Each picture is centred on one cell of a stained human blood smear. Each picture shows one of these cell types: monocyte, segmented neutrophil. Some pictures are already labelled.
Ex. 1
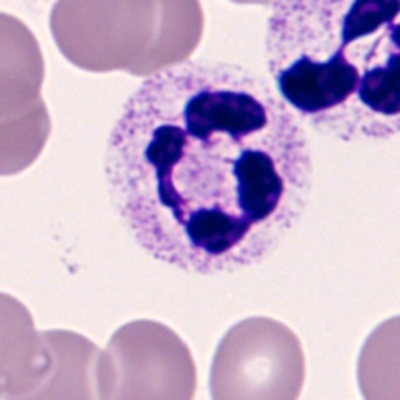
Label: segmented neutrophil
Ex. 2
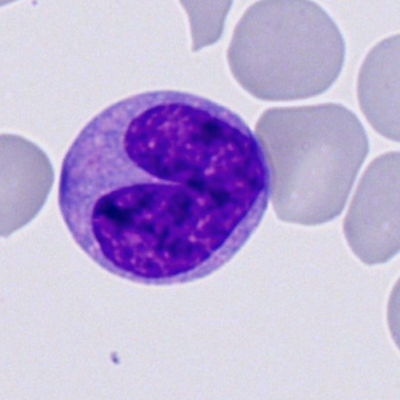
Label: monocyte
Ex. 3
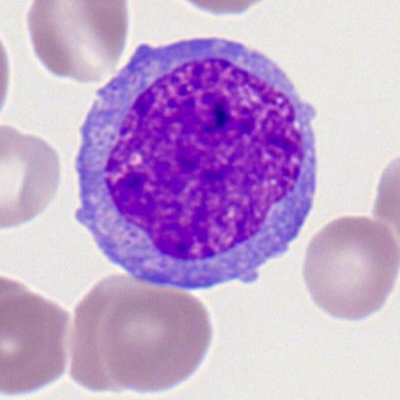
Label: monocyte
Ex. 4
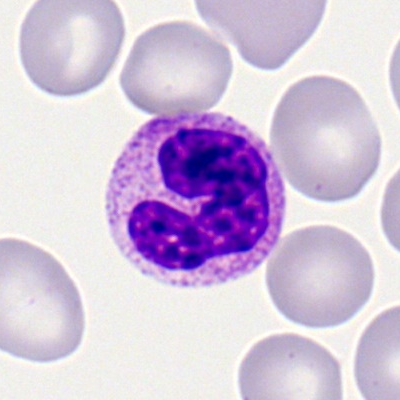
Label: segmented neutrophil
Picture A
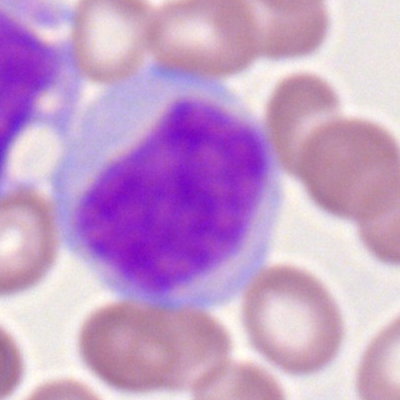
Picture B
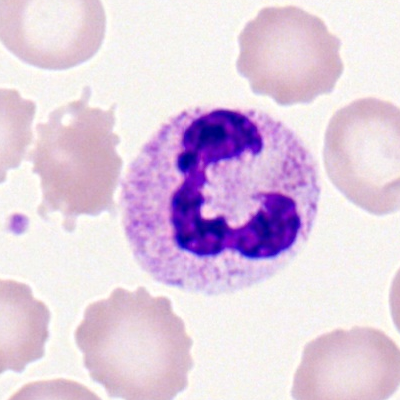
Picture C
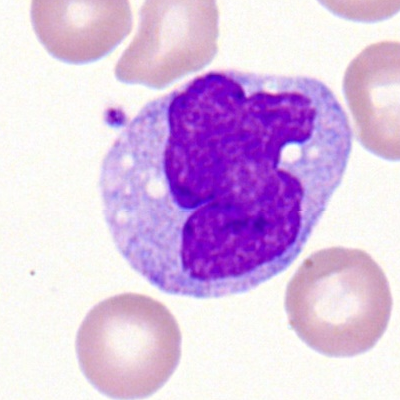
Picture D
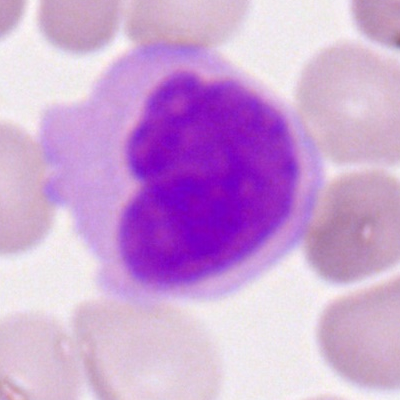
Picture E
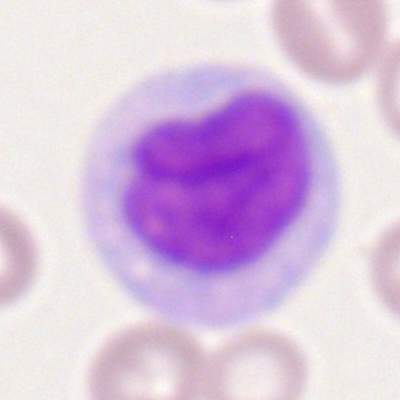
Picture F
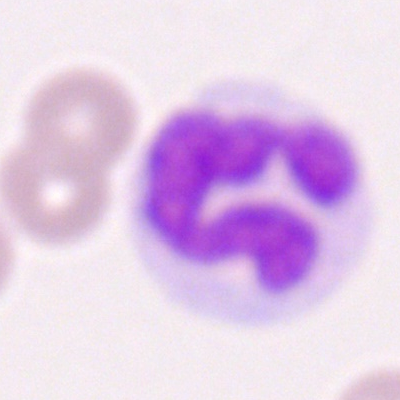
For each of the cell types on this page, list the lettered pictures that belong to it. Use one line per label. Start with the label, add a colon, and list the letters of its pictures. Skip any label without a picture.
monocyte: A, C, D, E, F
segmented neutrophil: B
